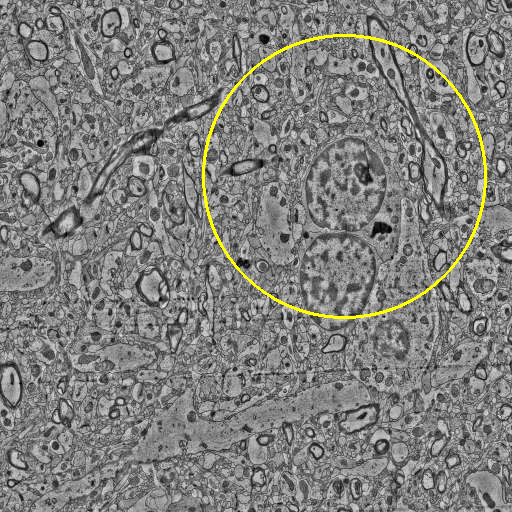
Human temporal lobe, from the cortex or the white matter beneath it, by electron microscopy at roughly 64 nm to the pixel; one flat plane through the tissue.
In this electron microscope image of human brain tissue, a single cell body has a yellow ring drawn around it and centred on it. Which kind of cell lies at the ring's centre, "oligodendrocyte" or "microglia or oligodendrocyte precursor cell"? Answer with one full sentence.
It is an oligodendrocyte whose cell body lies at the centre of the yellow ring here.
